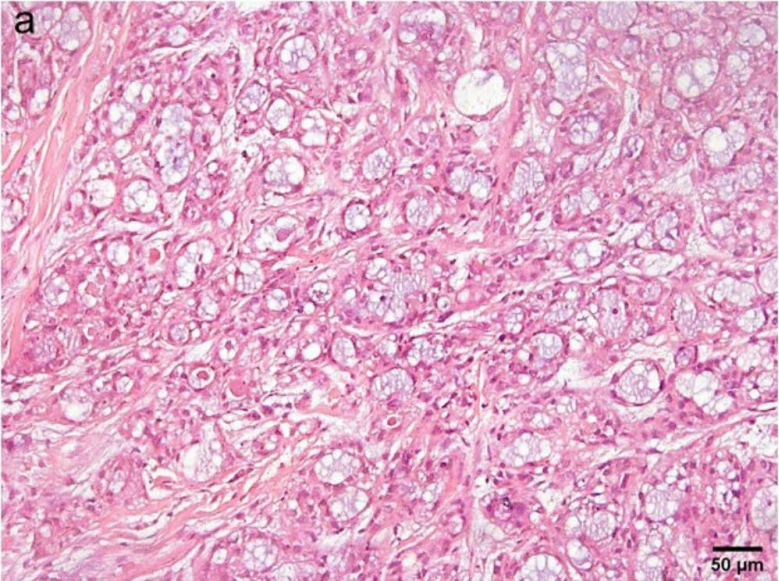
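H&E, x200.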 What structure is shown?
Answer: Microcysts and tubules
